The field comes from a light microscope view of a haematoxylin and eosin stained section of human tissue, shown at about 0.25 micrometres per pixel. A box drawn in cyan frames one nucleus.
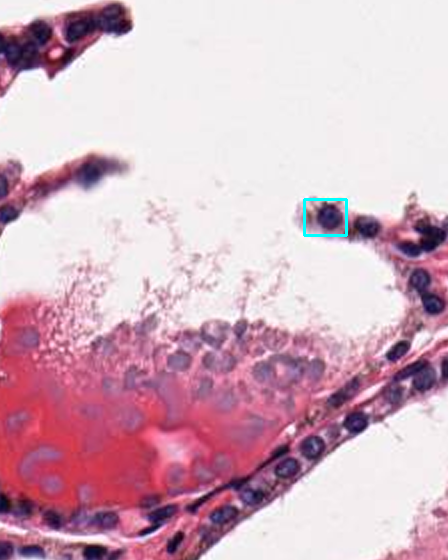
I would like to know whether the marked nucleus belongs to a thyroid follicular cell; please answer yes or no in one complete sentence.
Yes, the cell that holds the marked nucleus is a thyroid follicular cell.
